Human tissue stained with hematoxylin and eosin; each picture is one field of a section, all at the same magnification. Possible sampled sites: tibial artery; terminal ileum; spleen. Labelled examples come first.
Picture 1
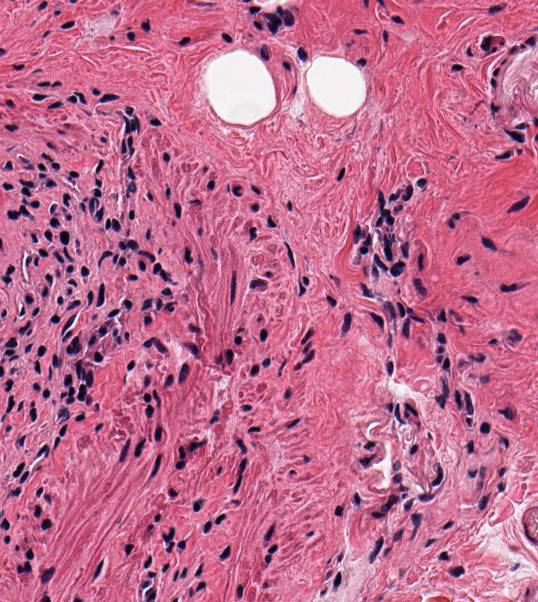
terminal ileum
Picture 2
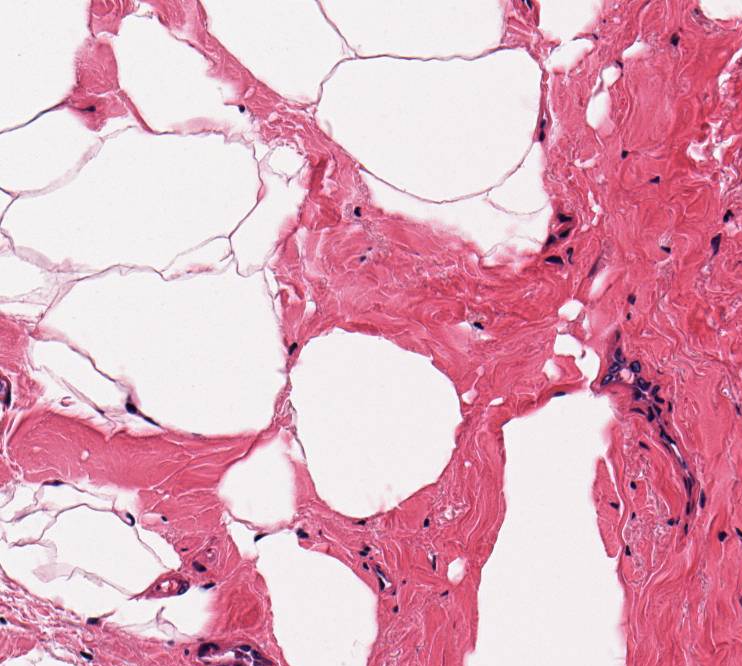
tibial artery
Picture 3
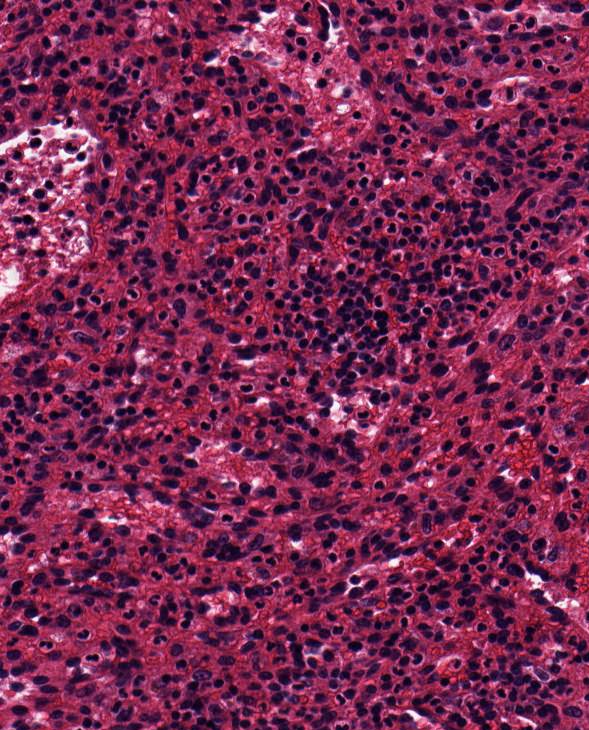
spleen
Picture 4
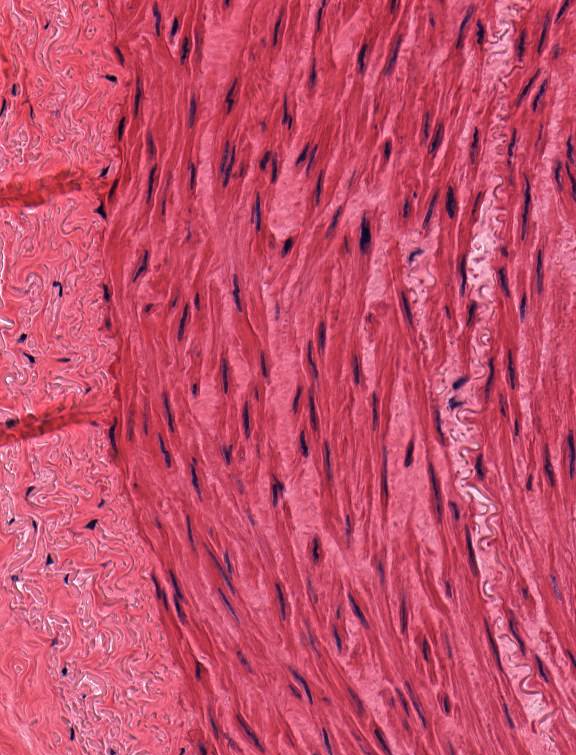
tibial artery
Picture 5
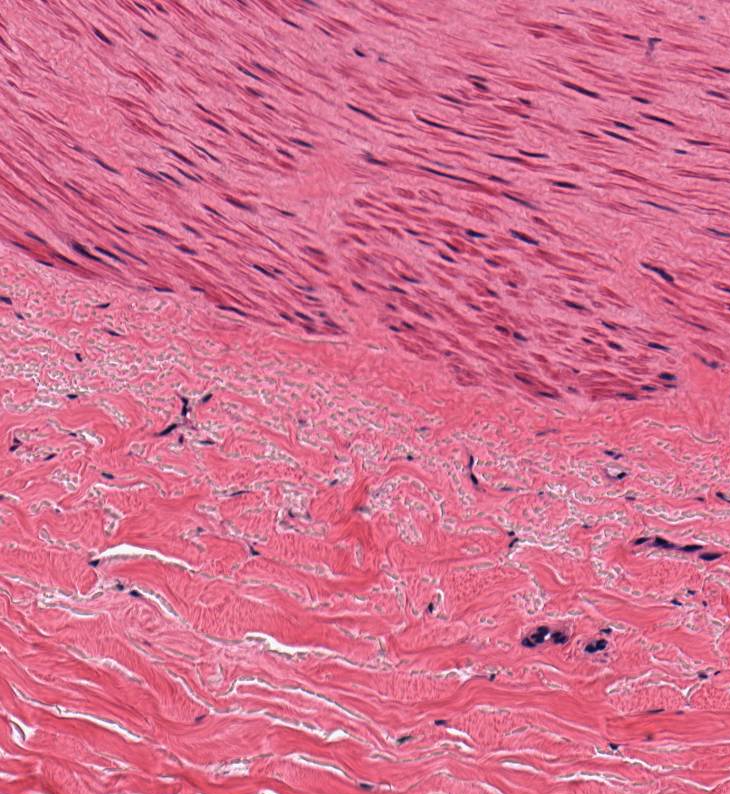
tibial artery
